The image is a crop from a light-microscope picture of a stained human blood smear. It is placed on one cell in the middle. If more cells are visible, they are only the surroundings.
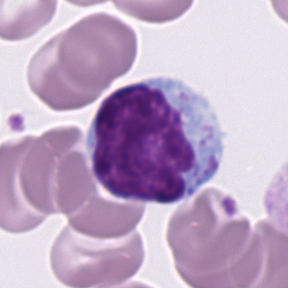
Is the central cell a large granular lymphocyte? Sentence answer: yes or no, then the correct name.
Yes, the cell in the center of the field is a large granular lymphocyte.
